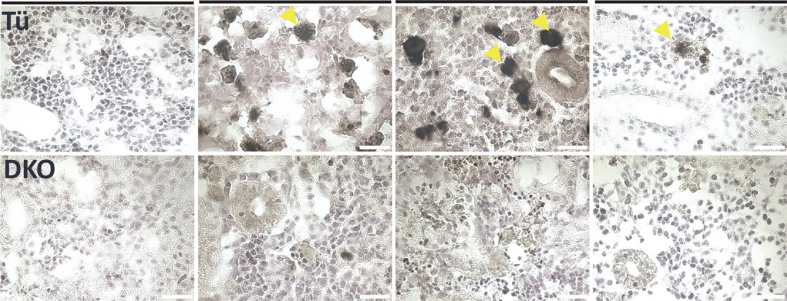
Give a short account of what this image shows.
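Kidney sections show tubule cross-sections surrounded by densely packed small round cells with dark nuclei. In several images of the upper row, large cells scattered among them are filled with dark brown to black granular deposits, and yellow arrowheads point to some of these. Such dark-filled cells are scarce or absent in the lower row.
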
